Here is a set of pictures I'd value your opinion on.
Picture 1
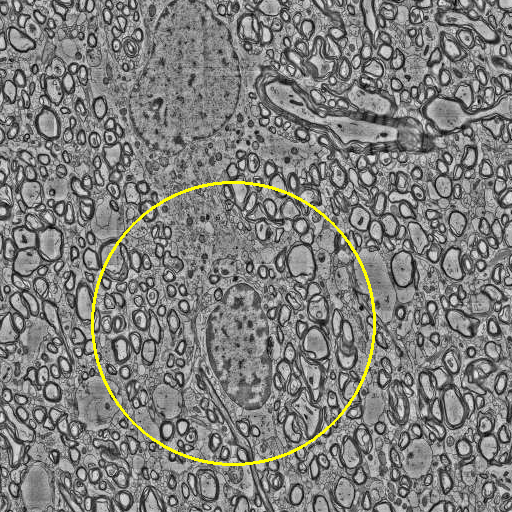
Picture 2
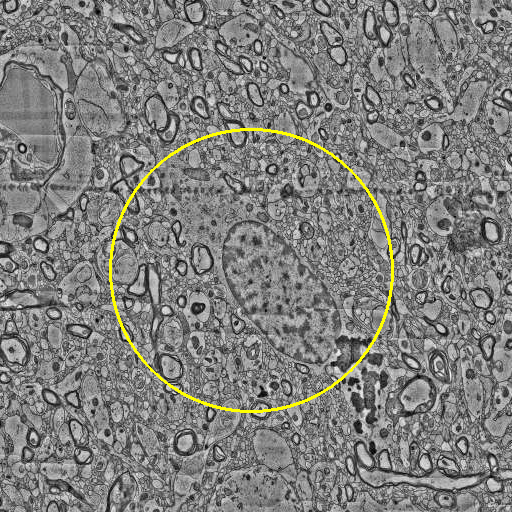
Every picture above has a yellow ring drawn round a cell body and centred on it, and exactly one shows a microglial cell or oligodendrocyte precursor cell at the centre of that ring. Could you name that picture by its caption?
Picture 1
